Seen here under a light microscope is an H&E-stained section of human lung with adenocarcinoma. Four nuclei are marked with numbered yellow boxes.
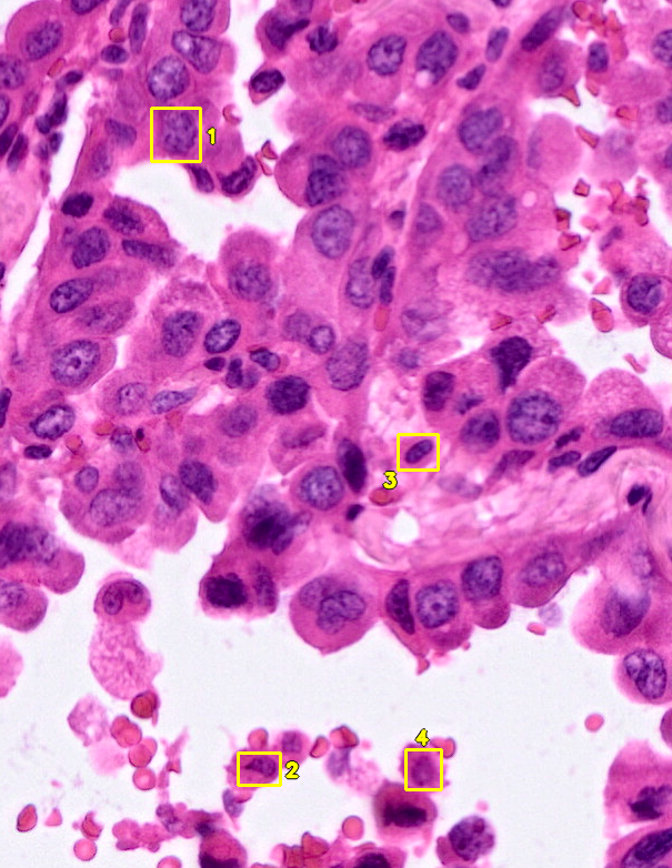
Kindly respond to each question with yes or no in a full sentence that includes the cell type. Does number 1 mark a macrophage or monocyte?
No, cell 1 isn't a macrophage or monocyte; it's a carcinoma cell.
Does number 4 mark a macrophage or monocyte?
Yes, of the numbered cells, number 4 is a macrophage or monocyte.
